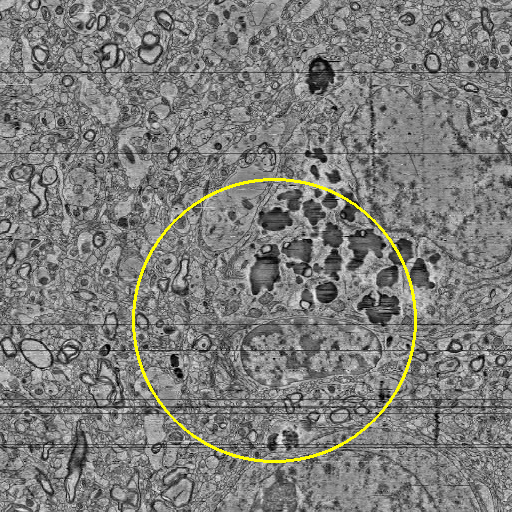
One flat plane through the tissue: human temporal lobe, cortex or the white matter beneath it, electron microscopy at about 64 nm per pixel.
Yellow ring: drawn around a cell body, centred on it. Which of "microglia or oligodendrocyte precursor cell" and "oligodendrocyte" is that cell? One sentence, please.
That cell body is from a microglial cell or oligodendrocyte precursor cell.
